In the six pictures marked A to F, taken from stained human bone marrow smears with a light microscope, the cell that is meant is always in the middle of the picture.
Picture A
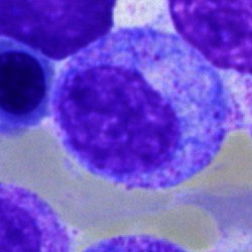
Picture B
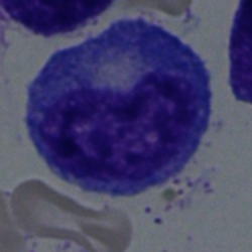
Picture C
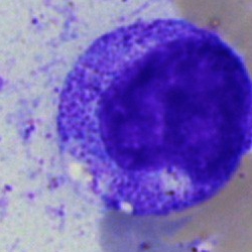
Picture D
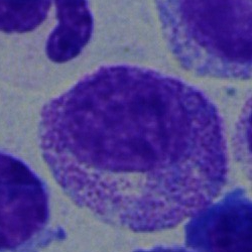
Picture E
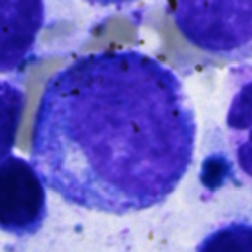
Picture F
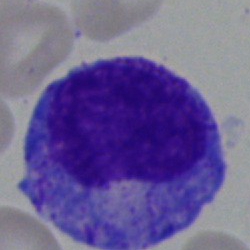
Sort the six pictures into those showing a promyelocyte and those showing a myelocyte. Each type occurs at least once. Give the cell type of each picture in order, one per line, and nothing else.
promyelocyte
promyelocyte
myelocyte
myelocyte
promyelocyte
promyelocyte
